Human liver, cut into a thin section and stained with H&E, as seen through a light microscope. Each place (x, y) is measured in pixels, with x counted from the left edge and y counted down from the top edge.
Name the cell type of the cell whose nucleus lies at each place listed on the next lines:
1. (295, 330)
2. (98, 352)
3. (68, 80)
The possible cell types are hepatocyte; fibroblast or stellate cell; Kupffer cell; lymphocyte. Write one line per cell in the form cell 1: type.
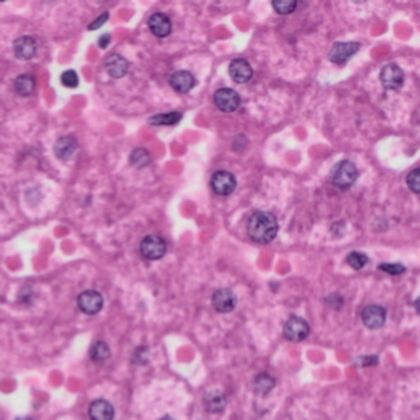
cell 1: hepatocyte
cell 2: hepatocyte
cell 3: lymphocyte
